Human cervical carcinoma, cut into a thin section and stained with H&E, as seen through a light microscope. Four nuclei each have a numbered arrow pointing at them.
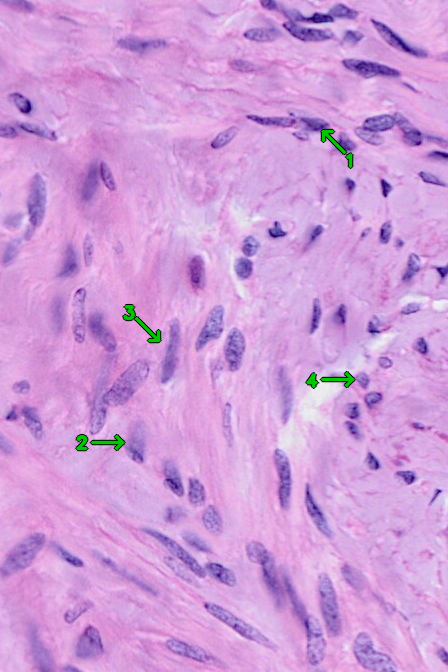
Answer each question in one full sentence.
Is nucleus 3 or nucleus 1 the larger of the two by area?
At about 3 times the area of nucleus 1, nucleus 3 is the larger of the two.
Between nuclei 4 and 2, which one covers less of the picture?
The smaller nucleus is 4, and 2 covers roughly 4 times its area.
